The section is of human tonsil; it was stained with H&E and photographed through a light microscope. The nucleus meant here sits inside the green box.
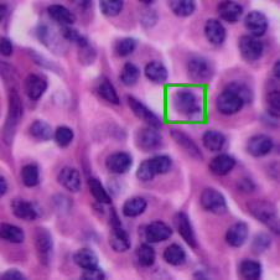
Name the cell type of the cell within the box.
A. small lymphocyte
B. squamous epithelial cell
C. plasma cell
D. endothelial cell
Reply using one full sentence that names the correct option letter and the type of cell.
Option C is the correct one, since the cell within the box is a plasma cell.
